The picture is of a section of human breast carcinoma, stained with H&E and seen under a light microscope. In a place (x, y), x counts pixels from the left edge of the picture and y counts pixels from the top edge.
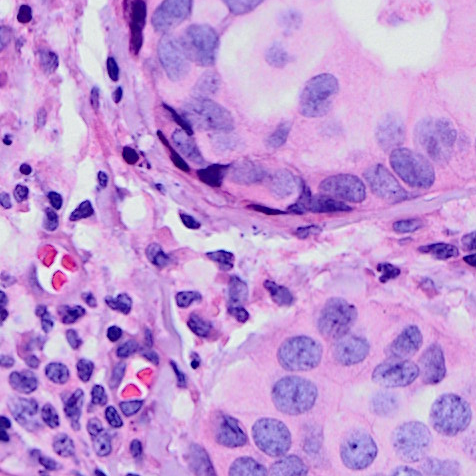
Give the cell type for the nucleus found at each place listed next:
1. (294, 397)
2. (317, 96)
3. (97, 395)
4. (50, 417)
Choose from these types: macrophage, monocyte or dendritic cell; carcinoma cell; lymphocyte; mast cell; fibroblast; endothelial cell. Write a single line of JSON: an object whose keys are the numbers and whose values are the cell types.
{"1": "carcinoma cell", "2": "carcinoma cell", "3": "lymphocyte", "4": "lymphocyte"}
